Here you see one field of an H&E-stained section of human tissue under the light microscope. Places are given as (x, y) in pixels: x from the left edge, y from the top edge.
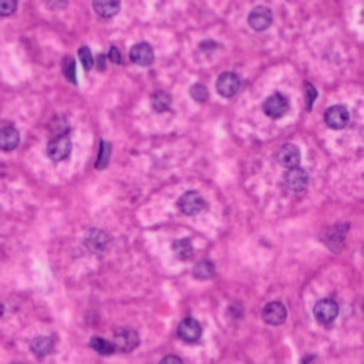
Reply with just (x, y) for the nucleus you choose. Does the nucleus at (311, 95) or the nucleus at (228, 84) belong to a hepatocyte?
(228, 84)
